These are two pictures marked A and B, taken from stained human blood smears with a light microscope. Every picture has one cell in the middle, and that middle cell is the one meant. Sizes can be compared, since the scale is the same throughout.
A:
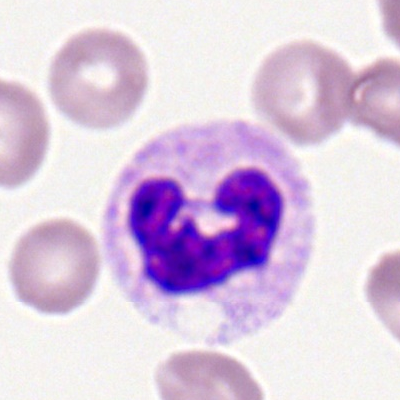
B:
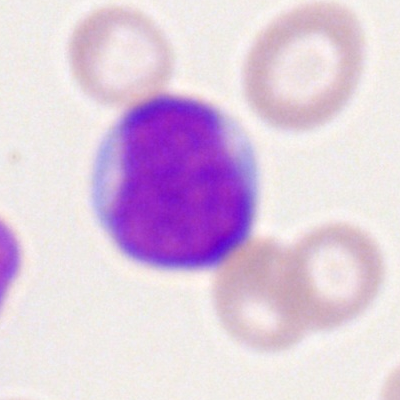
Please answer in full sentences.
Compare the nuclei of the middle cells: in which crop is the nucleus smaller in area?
Smaller is the nucleus in crop A, and the other is about 1.5 times as large in area.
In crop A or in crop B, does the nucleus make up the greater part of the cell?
Of the two, the nucleus in crop B makes up the greater part of its cell.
